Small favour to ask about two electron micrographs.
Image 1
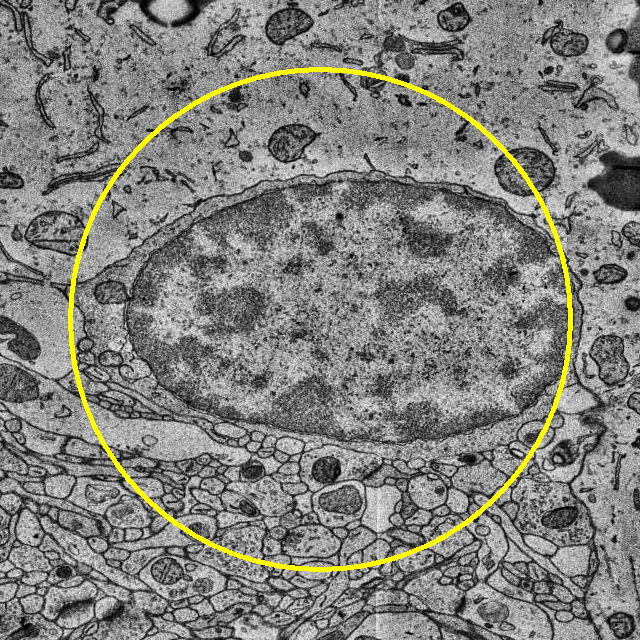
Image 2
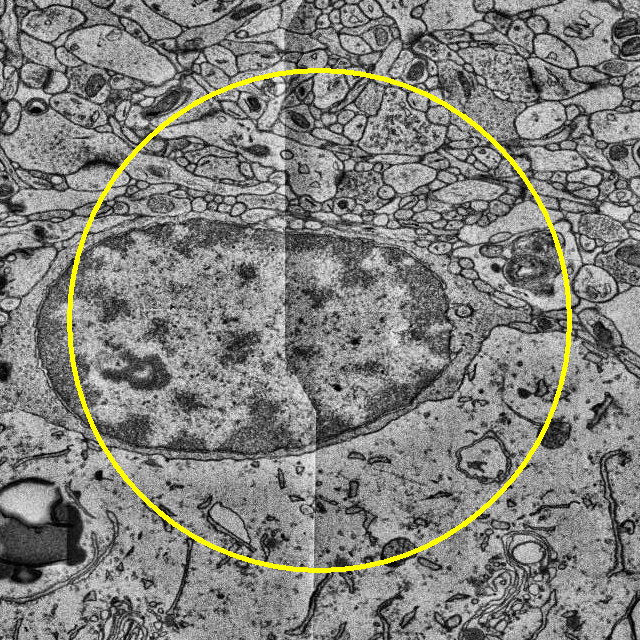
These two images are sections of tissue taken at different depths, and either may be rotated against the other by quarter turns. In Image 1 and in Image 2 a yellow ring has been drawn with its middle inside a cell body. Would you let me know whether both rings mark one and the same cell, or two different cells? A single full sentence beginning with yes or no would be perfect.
Yes, the marked cell is the same in both rings.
